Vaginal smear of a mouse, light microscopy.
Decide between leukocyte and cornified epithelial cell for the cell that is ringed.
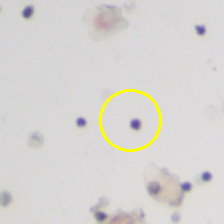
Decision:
I take the ringed cell for a leukocyte.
